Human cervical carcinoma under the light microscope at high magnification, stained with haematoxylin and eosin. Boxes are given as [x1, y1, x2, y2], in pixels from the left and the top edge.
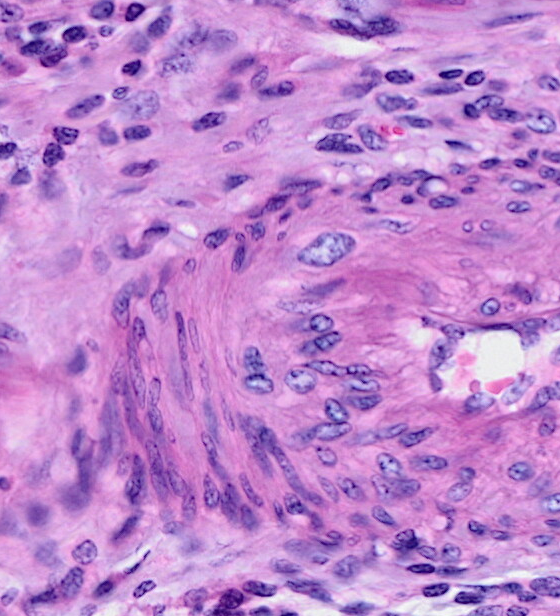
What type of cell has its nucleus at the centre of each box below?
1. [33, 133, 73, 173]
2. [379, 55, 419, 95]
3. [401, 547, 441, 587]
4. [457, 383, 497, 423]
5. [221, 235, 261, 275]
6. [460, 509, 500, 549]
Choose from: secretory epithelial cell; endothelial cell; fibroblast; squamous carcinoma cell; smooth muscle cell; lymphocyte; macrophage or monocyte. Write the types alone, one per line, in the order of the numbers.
lymphocyte
lymphocyte
lymphocyte
endothelial cell
smooth muscle cell
smooth muscle cell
